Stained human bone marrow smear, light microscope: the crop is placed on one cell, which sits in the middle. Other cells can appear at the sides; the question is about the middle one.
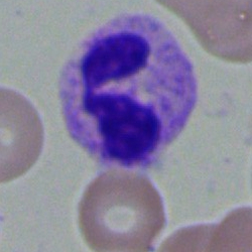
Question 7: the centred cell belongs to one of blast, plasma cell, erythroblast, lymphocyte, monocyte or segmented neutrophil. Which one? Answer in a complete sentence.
The cell the crop is centered on is a segmented neutrophil.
